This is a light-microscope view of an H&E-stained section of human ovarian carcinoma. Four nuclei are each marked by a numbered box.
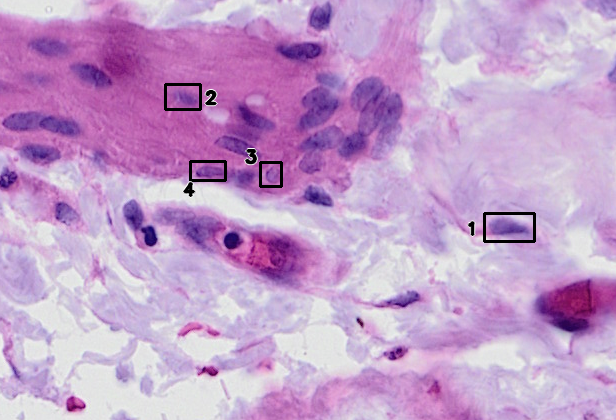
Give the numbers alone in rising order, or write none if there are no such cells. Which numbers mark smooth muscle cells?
2, 3, 4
